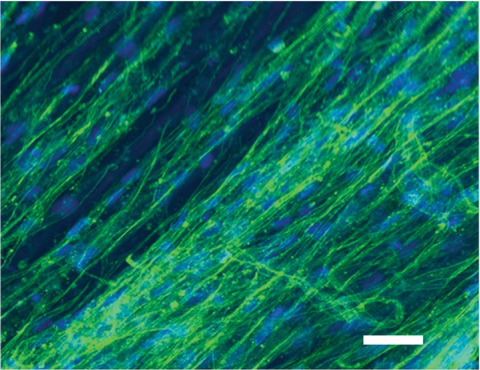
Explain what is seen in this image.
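Elongated cells lie closely packed in a common diagonal direction, filled with long, thin green fibres that run parallel to one another across the field. Oval blue nuclei sit among the fibres, themselves stretched in the same direction.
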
